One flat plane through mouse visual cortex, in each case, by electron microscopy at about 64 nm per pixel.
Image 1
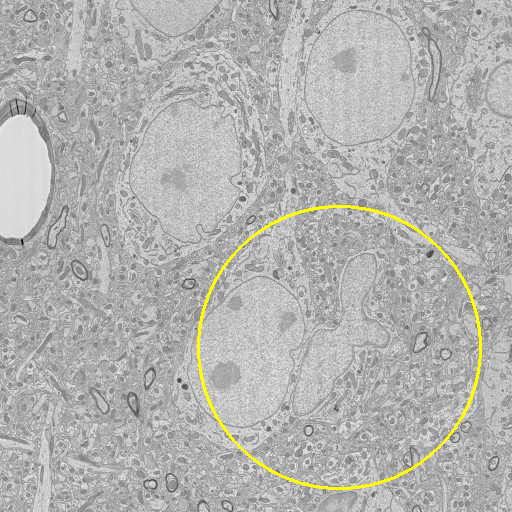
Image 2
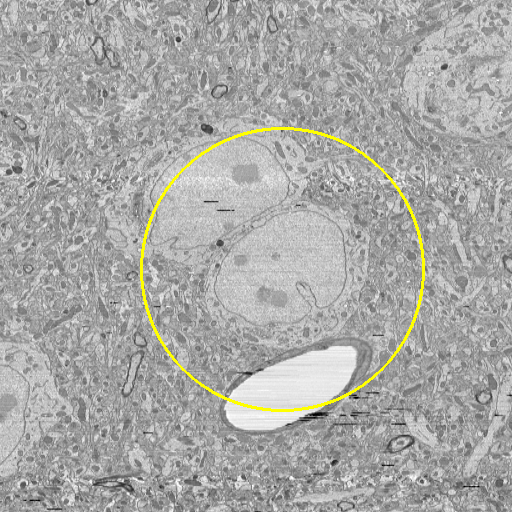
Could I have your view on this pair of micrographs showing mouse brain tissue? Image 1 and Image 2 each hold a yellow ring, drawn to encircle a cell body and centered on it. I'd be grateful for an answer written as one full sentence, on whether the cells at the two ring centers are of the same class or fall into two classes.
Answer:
The cells at the centers of the two rings fall into two classes.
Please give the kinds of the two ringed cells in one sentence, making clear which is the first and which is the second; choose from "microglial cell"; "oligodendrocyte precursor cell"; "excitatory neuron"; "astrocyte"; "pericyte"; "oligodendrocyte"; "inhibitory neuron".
In the second picture the ringed cell is an excitatory neuron; in the first it is an oligodendrocyte precursor cell.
